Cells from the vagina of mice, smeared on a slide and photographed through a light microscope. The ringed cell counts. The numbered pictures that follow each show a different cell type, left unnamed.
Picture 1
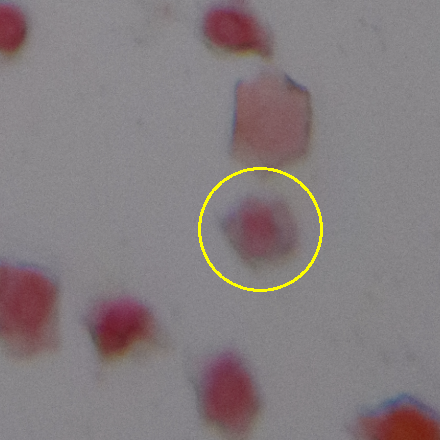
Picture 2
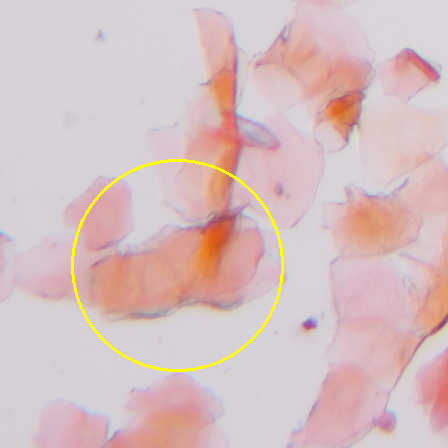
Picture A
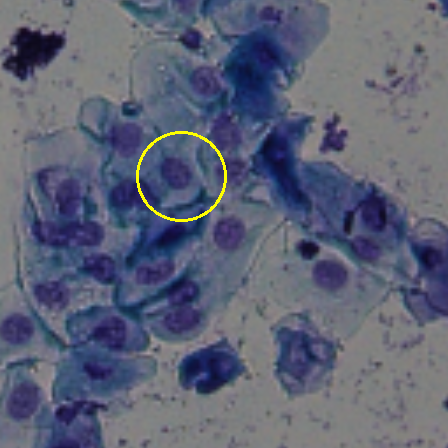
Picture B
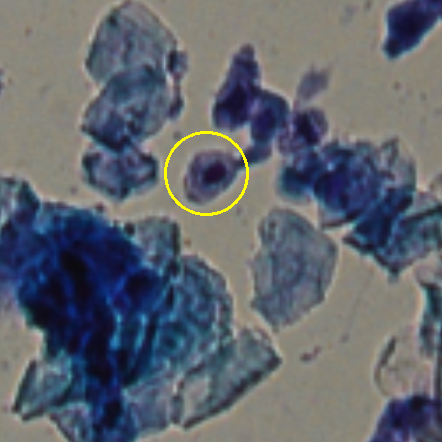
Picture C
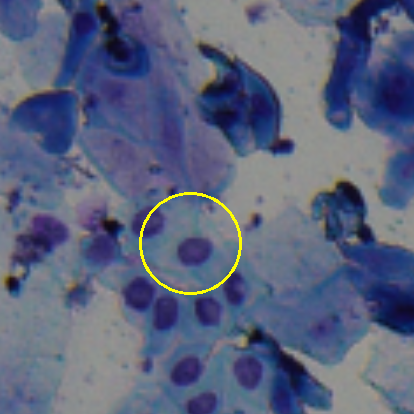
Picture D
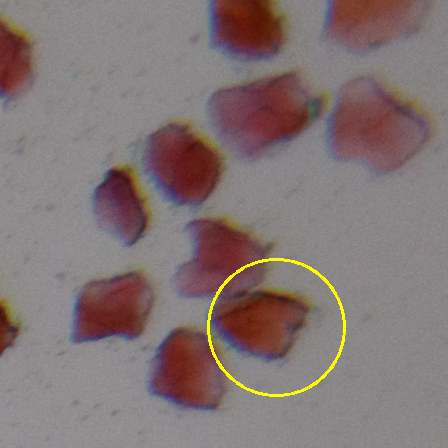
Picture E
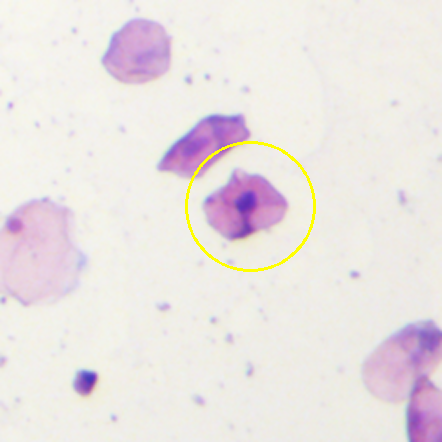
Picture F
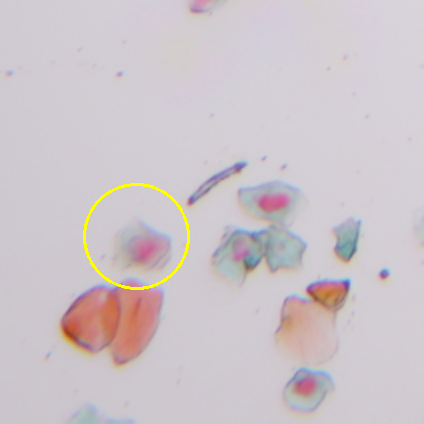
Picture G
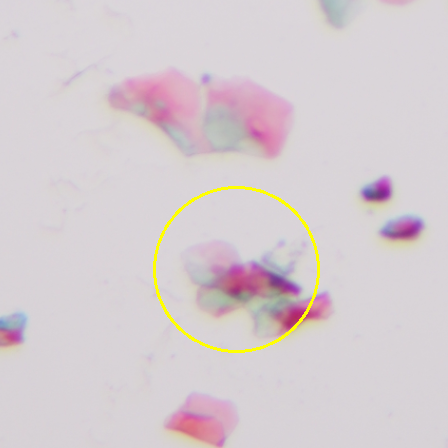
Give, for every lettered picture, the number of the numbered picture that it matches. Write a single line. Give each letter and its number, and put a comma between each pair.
A 1, B 1, C 1, D 2, E 1, F 1, G 2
